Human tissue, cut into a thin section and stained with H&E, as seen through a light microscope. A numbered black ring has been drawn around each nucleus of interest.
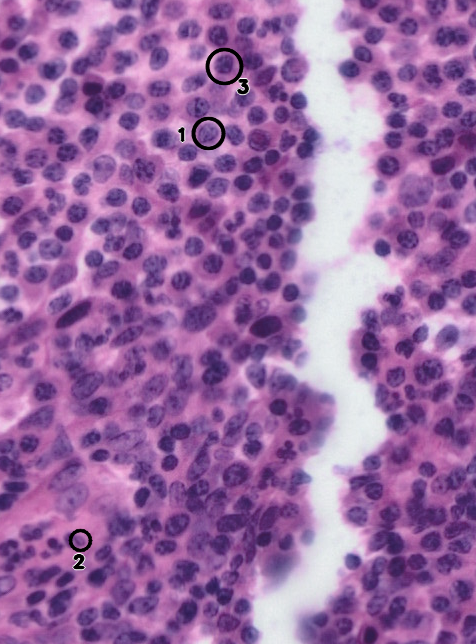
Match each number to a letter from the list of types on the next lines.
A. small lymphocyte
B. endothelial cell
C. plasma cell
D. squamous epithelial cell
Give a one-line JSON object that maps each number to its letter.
{"1": "C", "2": "B", "3": "C"}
